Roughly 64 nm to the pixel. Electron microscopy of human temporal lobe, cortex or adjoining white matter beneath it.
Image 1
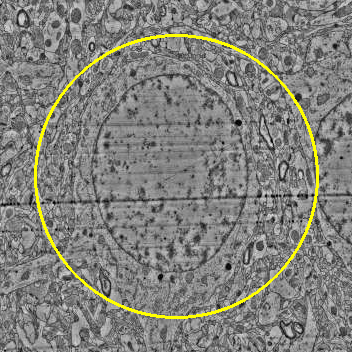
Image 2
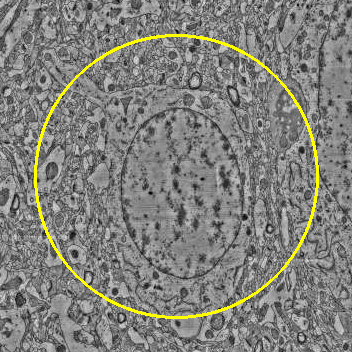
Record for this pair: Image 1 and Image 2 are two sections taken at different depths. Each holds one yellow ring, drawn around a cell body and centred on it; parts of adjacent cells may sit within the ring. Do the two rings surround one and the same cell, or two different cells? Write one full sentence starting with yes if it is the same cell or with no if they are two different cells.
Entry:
No, a different cell sits inside each of the two rings.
